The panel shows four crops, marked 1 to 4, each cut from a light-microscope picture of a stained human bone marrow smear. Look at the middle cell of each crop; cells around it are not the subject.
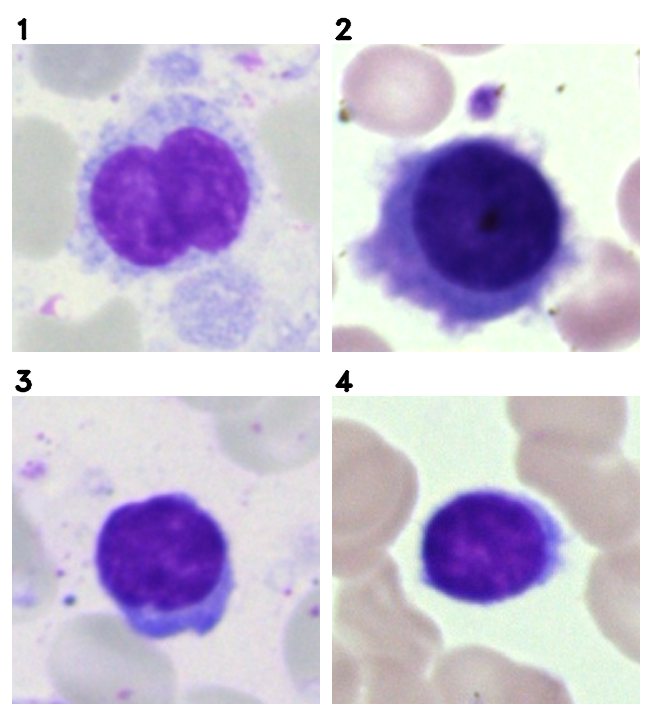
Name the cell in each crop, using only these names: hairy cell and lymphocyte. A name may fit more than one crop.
1: hairy cell
2: hairy cell
3: lymphocyte
4: lymphocyte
